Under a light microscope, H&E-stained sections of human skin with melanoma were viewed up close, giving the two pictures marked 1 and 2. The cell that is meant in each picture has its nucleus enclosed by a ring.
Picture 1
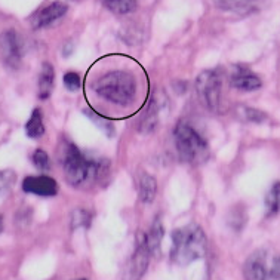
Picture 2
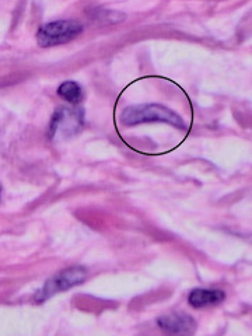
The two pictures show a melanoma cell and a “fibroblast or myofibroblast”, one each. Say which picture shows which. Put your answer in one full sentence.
Picture 2 shows a “fibroblast or myofibroblast”, while picture 1 shows a melanoma cell.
